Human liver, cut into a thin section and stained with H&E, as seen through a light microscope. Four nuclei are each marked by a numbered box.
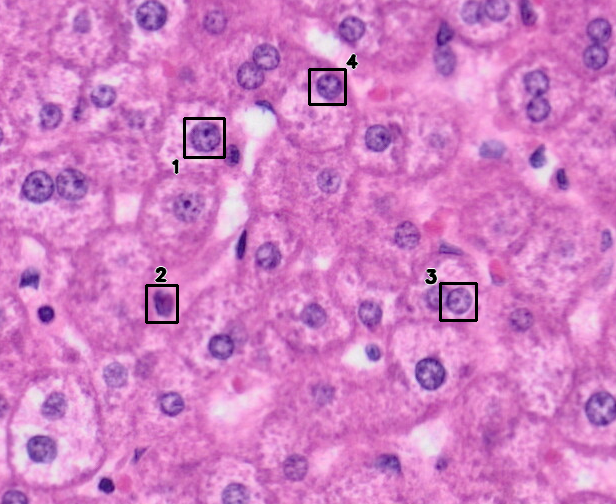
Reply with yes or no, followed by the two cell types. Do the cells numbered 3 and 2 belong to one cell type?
No, cell 3 is a hepatocyte and cell 2 is an endothelial cell.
